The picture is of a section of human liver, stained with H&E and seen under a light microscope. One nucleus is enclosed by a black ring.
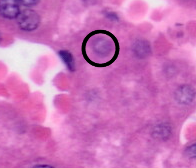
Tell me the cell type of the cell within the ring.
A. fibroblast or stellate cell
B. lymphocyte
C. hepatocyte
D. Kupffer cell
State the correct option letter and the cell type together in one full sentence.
The right pick is option C; the cell within the ring is a hepatocyte.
